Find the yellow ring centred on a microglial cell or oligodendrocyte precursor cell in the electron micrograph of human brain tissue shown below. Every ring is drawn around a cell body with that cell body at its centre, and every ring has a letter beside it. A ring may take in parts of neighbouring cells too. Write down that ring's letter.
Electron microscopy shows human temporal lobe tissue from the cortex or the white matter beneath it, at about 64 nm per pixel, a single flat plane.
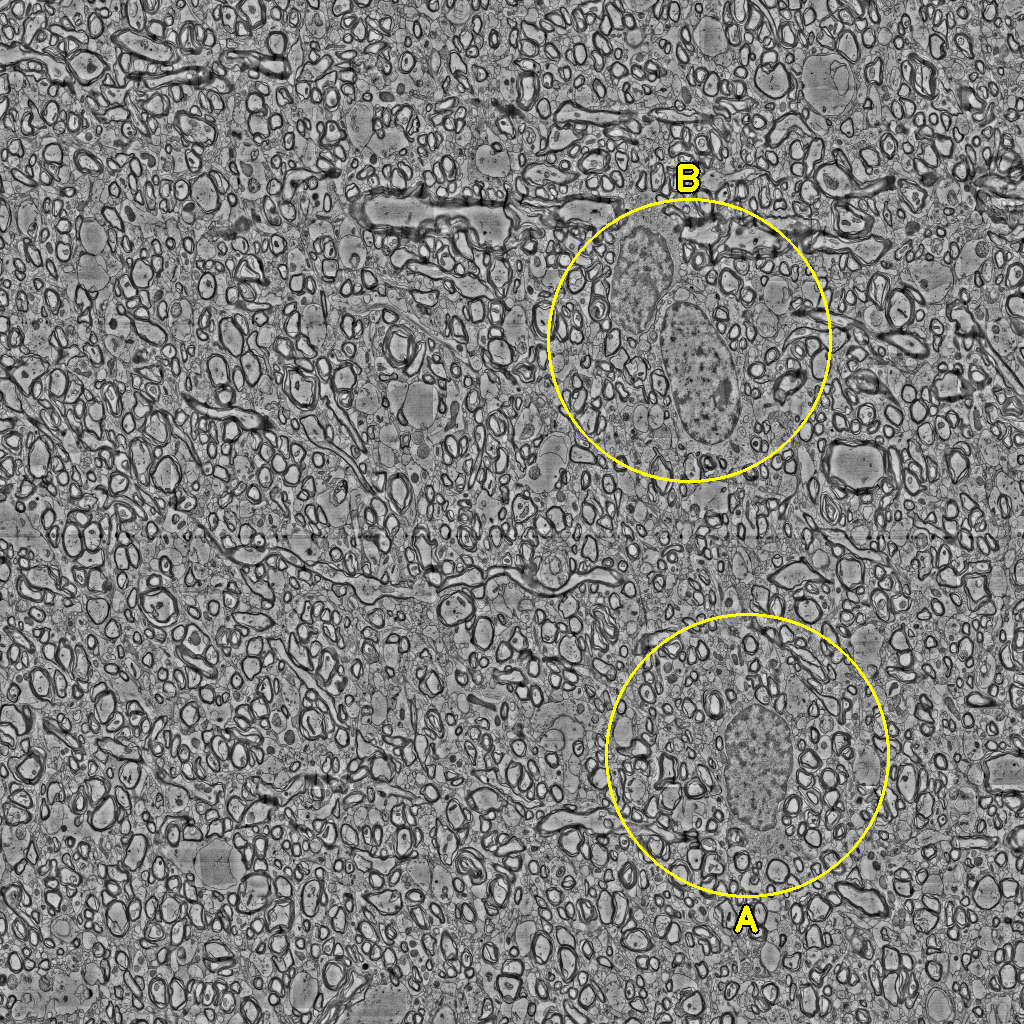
B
